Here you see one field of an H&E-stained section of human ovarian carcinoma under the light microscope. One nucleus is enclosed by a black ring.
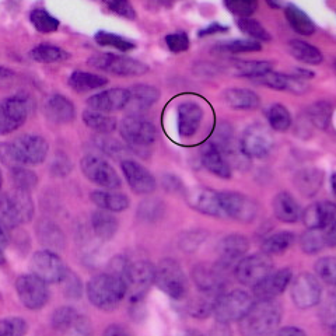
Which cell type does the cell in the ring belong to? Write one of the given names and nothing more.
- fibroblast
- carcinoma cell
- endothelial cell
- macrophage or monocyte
carcinoma cell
